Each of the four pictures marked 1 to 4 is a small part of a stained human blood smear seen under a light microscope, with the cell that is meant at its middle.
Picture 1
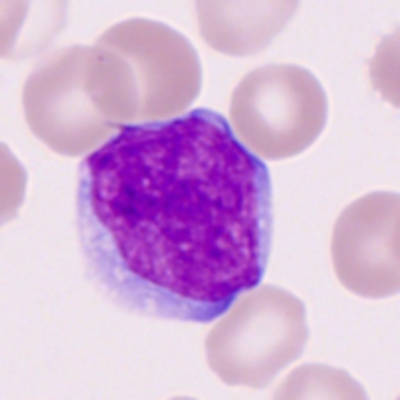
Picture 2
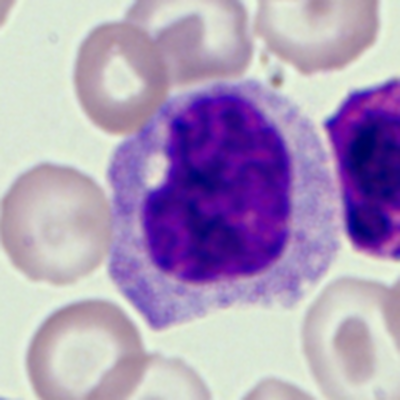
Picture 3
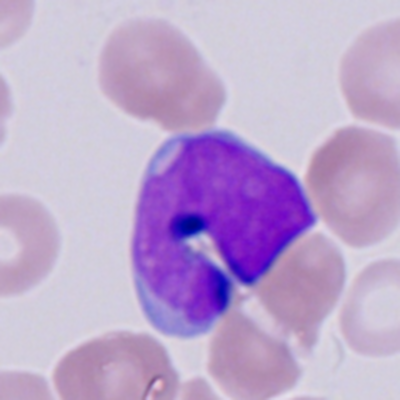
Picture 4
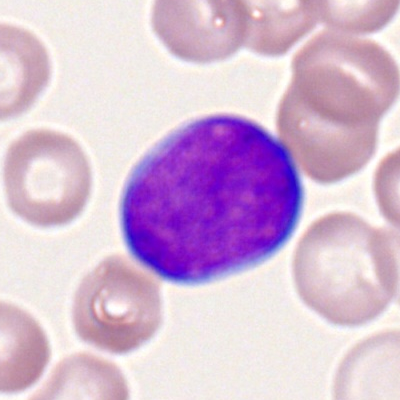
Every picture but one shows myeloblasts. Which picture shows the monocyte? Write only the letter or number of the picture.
2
